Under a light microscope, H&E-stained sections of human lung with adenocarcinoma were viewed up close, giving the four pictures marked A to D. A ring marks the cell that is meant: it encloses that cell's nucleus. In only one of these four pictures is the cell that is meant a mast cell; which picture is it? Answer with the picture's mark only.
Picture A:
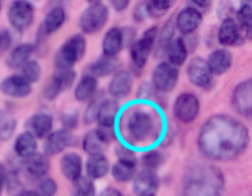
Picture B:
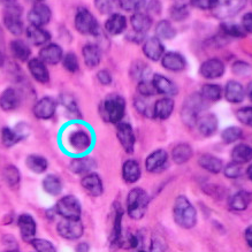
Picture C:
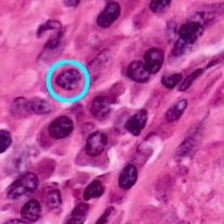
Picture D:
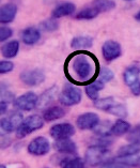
C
